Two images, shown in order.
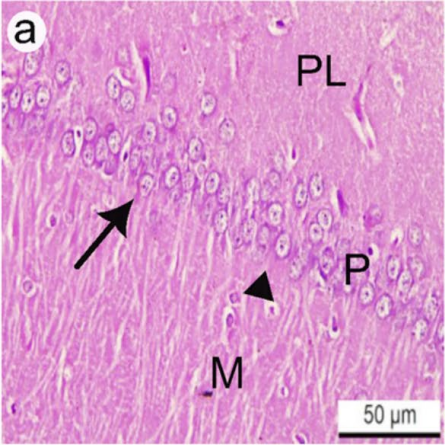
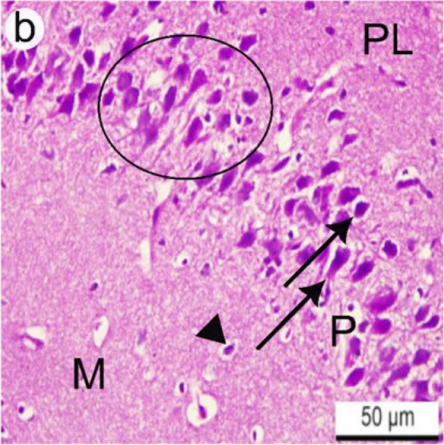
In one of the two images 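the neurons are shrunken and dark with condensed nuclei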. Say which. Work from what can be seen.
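The second image. Second image: the cells of the neuron band are small, angular and deep purple, with no pale nucleus. First image: the cells of the neuron band have large round pale nuclei with nucleoli.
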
